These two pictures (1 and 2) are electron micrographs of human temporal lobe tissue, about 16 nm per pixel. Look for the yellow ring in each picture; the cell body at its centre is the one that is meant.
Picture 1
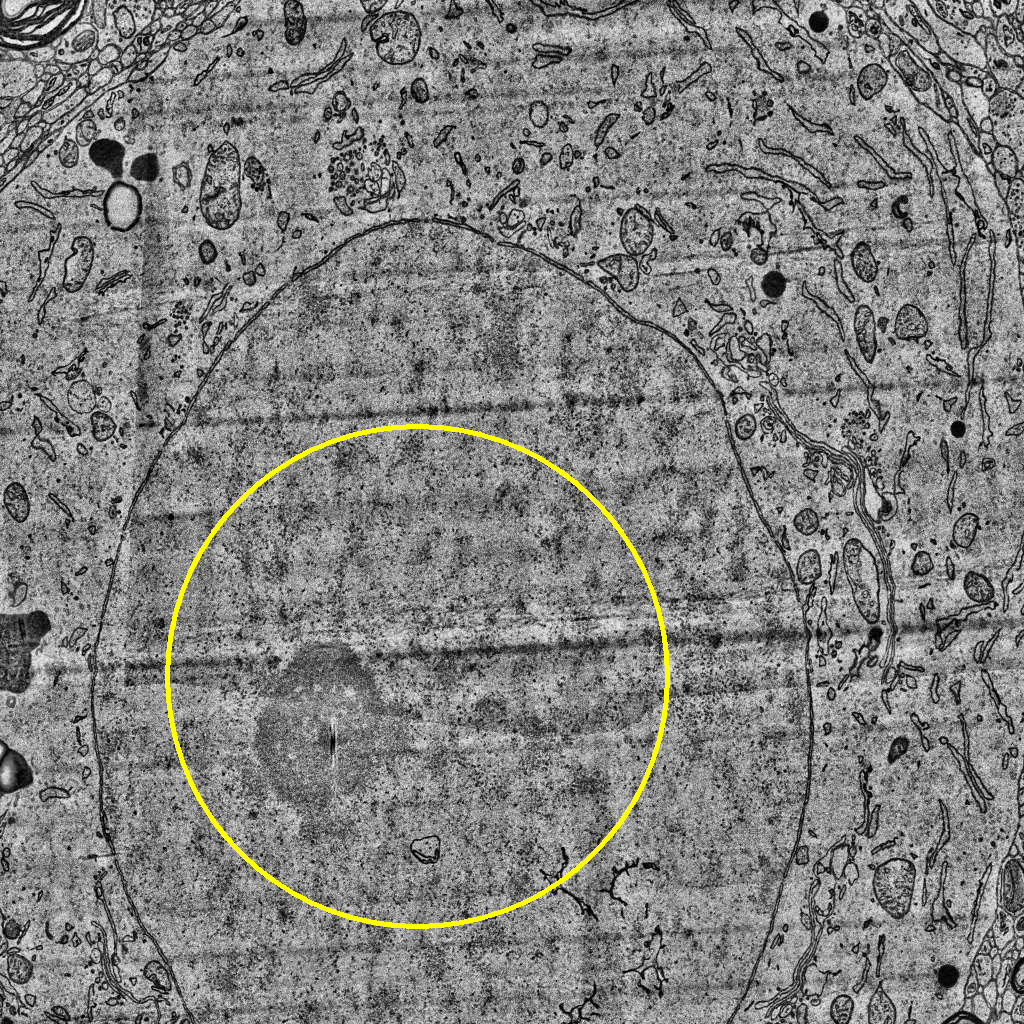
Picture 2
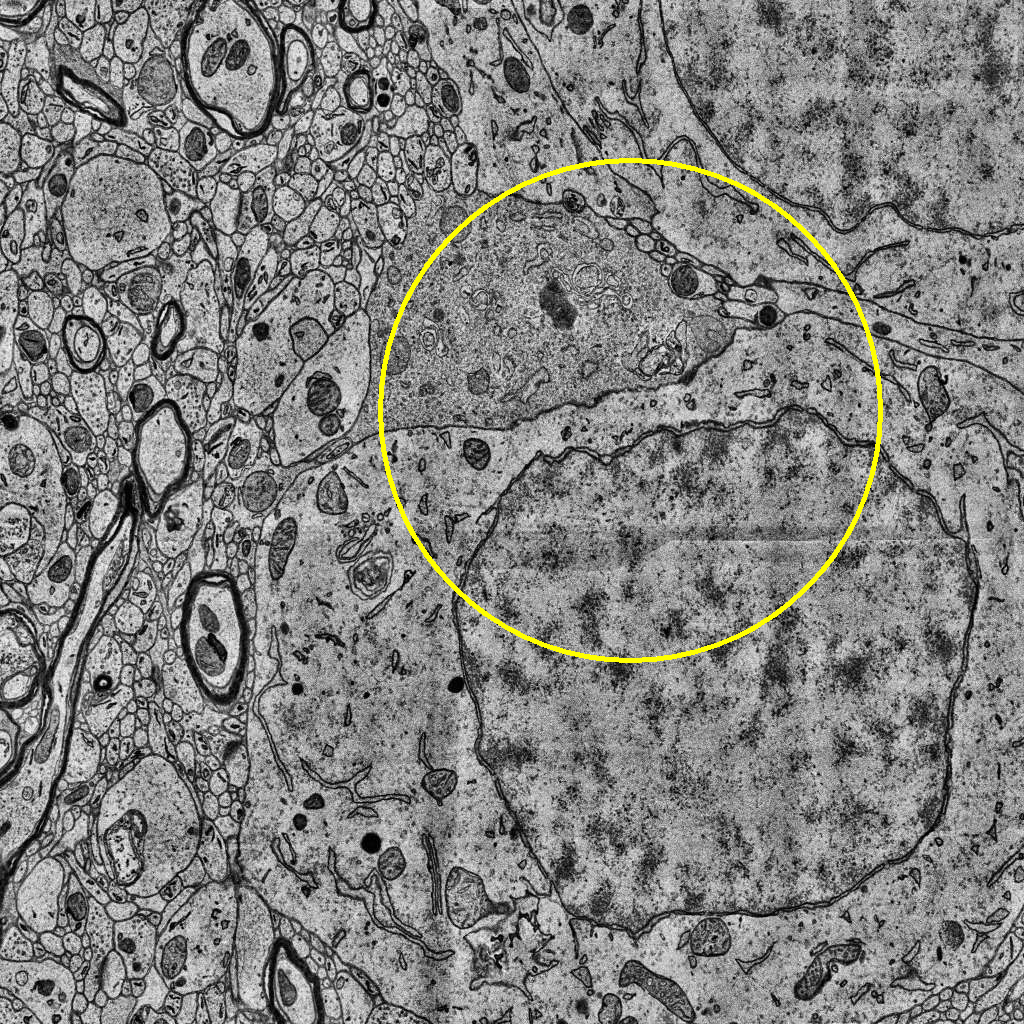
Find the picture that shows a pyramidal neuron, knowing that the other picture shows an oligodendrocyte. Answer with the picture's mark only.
1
